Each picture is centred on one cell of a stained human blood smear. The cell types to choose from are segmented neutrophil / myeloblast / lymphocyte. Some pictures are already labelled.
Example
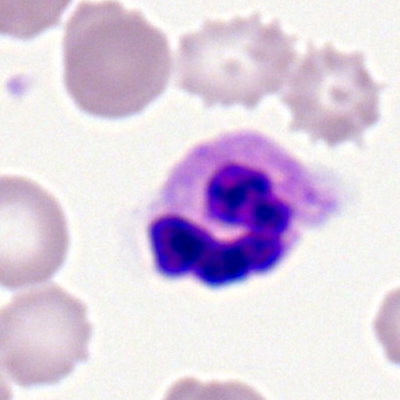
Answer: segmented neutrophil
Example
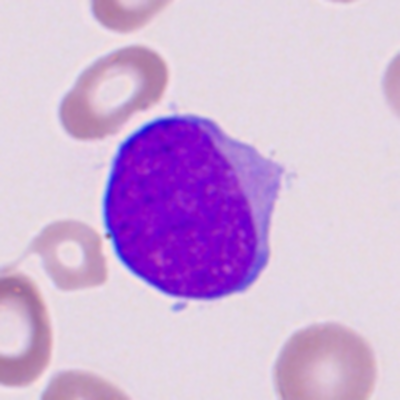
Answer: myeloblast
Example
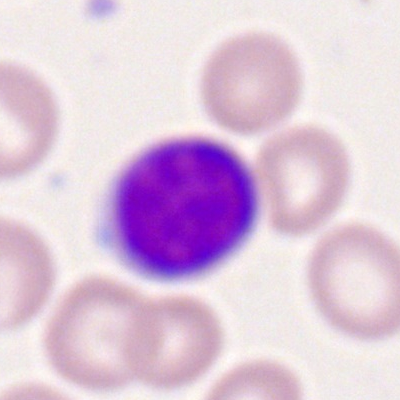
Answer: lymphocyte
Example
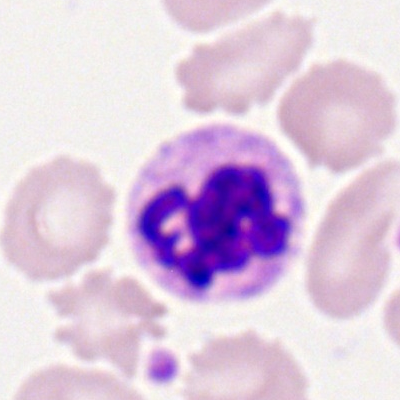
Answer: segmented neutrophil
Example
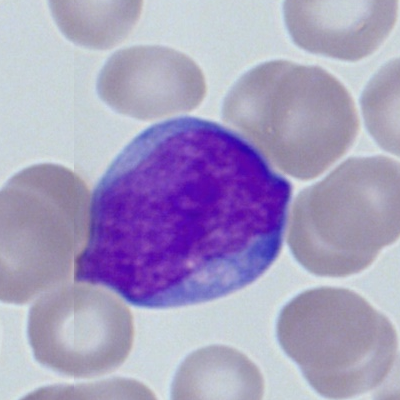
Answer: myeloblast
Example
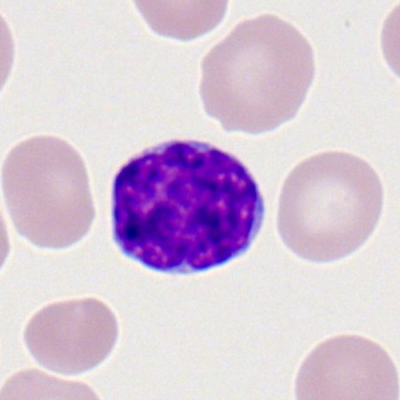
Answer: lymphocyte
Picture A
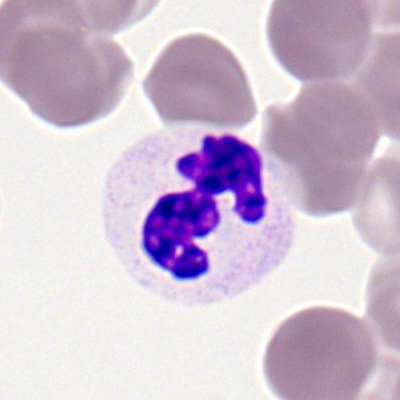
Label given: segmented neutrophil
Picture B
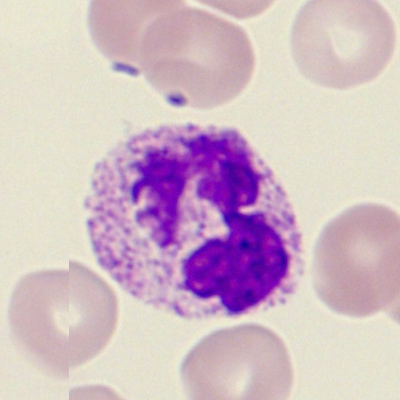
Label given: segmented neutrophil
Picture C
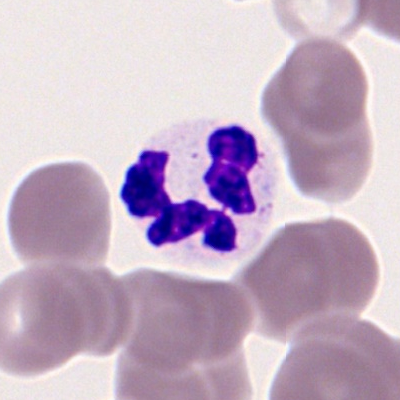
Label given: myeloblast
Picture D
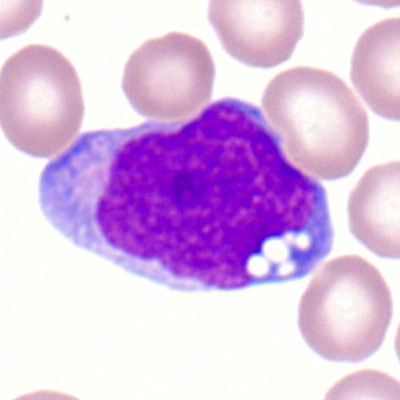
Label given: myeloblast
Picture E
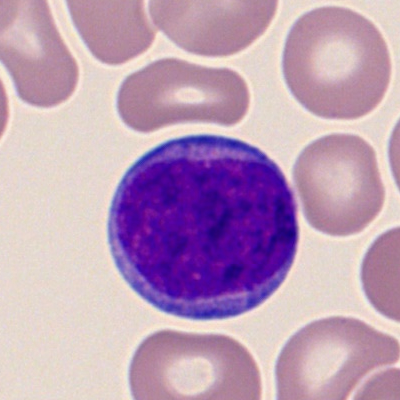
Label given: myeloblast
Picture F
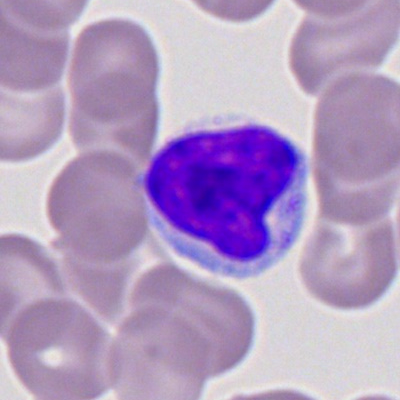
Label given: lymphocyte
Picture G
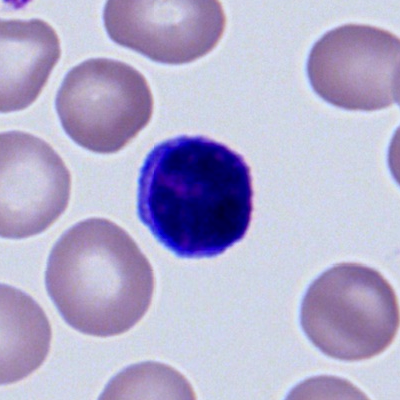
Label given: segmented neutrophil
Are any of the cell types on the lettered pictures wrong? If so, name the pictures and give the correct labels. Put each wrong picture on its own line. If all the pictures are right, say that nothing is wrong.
C should be segmented neutrophil, not myeloblast
G should be lymphocyte, not segmented neutrophil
